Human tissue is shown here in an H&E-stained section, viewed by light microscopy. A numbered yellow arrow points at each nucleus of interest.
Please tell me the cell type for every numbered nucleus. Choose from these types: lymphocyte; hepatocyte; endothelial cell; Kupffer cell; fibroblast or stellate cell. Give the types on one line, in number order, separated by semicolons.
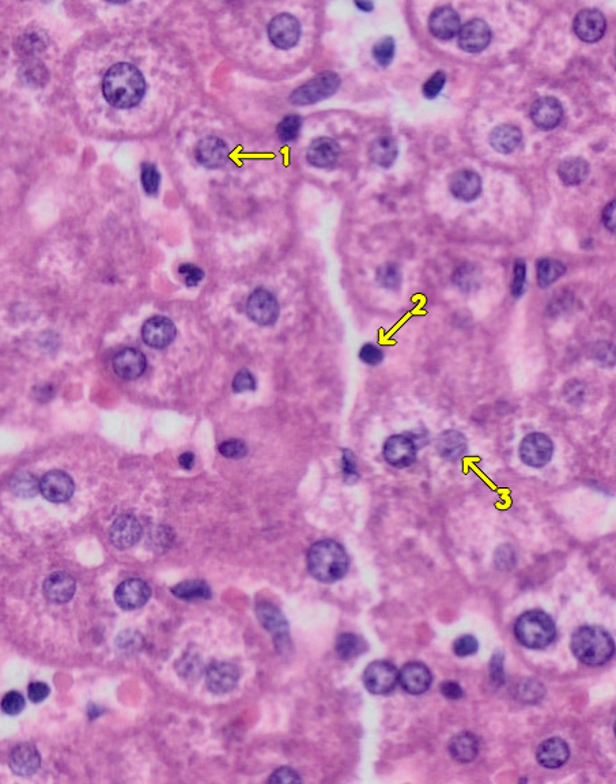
hepatocyte; lymphocyte; hepatocyte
